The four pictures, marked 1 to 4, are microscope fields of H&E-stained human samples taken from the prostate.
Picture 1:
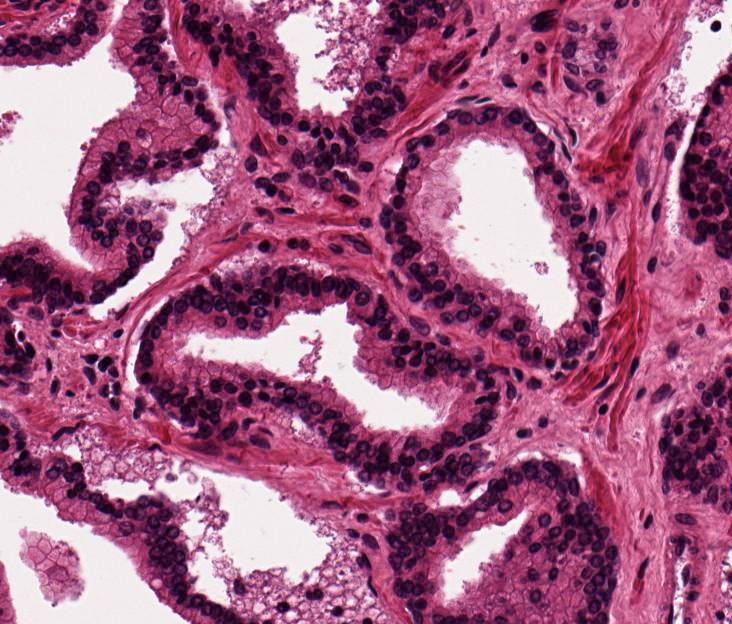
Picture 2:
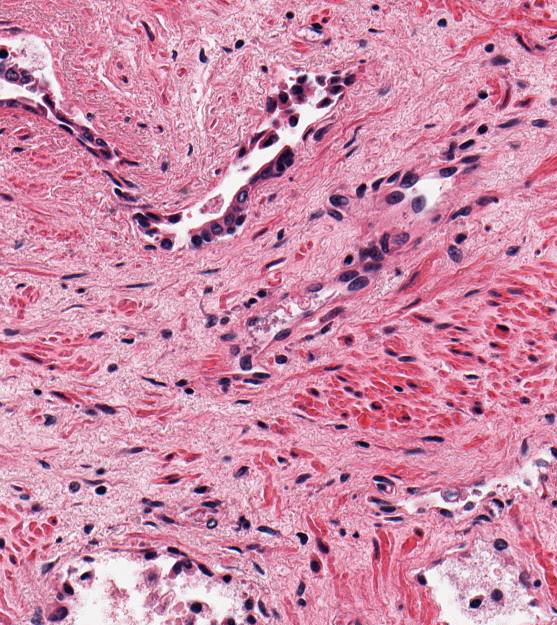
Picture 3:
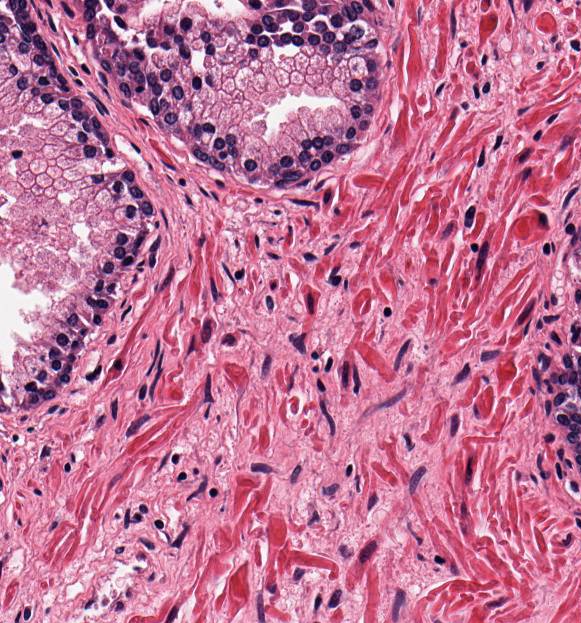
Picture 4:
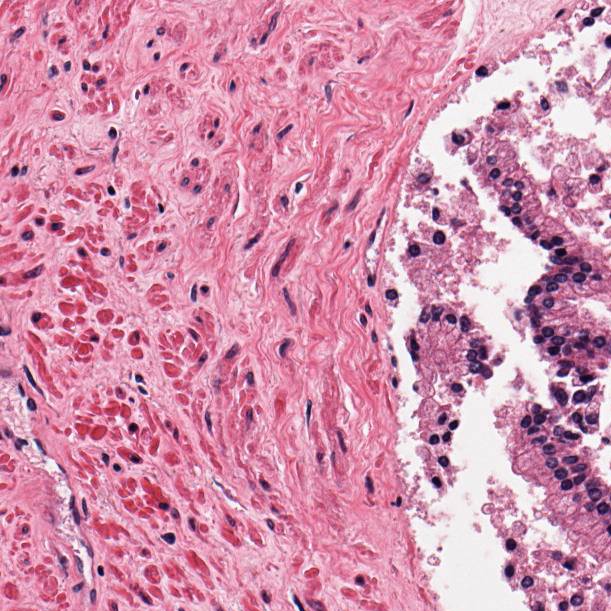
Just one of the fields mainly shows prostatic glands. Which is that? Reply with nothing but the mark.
1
